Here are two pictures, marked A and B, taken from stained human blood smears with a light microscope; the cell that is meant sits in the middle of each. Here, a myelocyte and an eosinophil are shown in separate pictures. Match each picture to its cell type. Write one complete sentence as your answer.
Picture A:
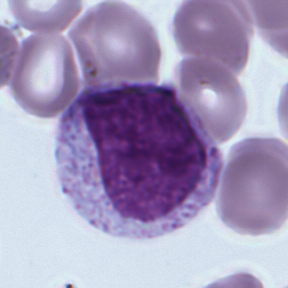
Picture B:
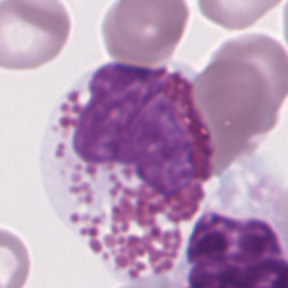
It is picture A that shows a myelocyte, and picture B that shows an eosinophil.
